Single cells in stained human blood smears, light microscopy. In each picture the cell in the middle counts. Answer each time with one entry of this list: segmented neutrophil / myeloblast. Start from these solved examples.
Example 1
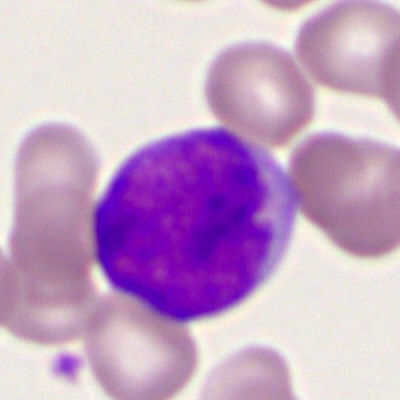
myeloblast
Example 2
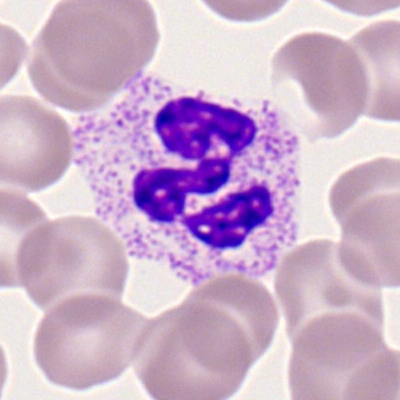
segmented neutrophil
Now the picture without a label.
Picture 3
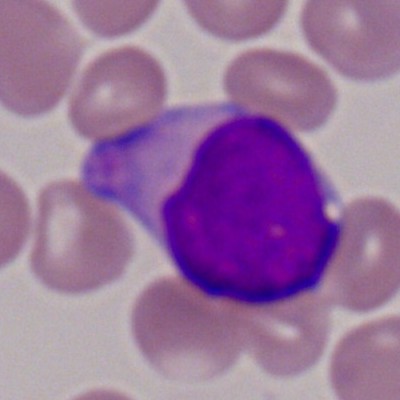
myeloblast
